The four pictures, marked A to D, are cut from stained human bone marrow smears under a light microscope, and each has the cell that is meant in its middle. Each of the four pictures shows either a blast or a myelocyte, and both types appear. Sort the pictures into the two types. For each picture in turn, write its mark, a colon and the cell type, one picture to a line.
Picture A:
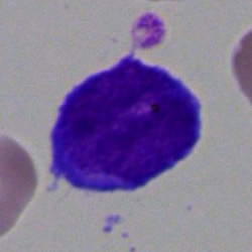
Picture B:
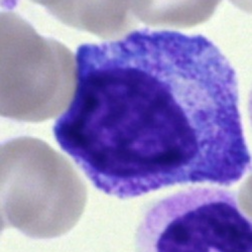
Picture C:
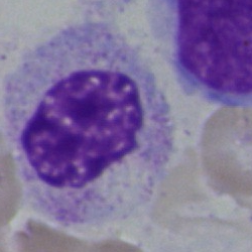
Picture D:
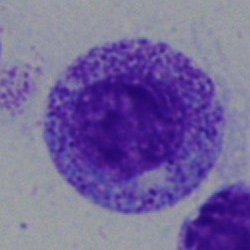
A: blast
B: myelocyte
C: myelocyte
D: myelocyte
